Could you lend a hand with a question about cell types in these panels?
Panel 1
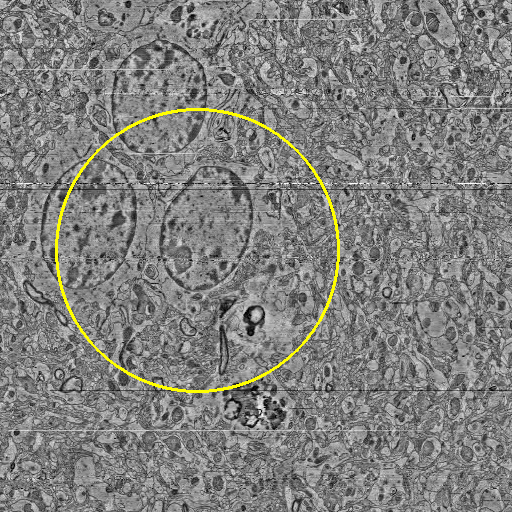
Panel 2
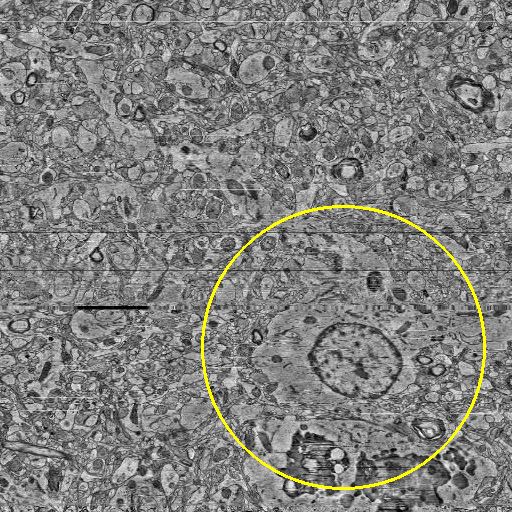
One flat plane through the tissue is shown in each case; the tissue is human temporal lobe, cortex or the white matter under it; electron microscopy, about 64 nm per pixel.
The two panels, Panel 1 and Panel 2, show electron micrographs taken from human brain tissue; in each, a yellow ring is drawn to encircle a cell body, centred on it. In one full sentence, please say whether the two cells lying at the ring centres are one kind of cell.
Yes, the cells at the ring centres in the two panels are one kind of cell.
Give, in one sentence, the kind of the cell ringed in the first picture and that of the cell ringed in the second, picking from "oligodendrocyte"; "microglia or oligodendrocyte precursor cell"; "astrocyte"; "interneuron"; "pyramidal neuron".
In both pictures the ring is centred on an astrocyte.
